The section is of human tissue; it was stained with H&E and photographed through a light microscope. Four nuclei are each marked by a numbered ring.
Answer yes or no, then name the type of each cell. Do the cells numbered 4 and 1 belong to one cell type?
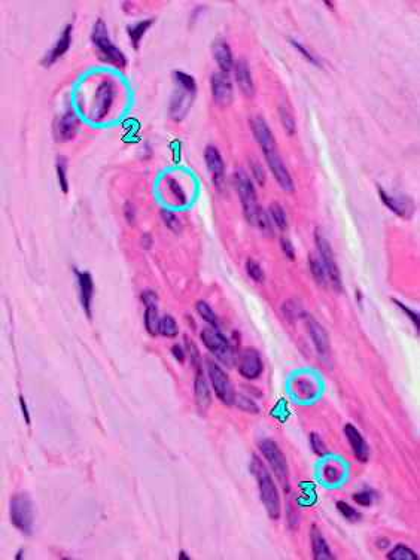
Yes, cell 4 is counted among the smooth muscle cells, as is cell 1.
